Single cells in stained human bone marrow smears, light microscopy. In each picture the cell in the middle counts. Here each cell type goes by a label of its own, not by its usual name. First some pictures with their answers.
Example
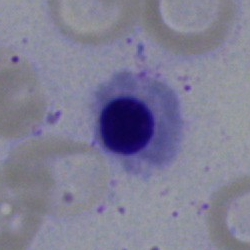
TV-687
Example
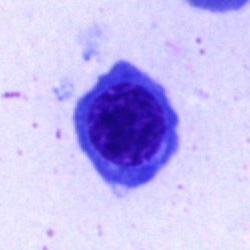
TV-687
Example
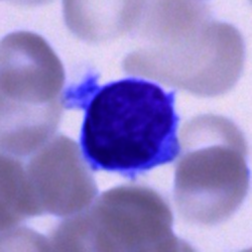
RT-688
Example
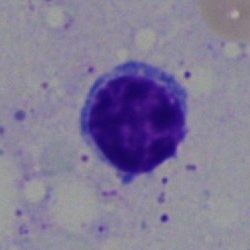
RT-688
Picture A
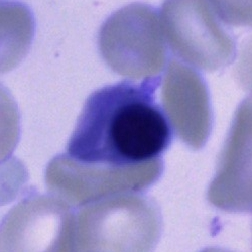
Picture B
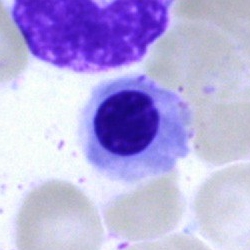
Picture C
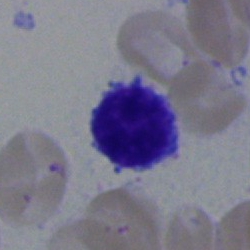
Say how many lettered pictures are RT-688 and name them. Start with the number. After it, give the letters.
1: C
